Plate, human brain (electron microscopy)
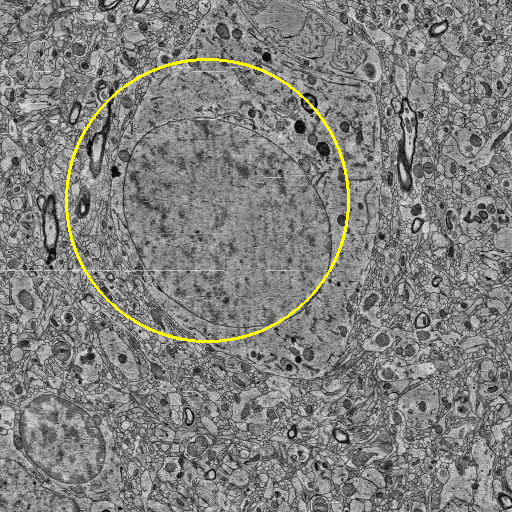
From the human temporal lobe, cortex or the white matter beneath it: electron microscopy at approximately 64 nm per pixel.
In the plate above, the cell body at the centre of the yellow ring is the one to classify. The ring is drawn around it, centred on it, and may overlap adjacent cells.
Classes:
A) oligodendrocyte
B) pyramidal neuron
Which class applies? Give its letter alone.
B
